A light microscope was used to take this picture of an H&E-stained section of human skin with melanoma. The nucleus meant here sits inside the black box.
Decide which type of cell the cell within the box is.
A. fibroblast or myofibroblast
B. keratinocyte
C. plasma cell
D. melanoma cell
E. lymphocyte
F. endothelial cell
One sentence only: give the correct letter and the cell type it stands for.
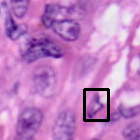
What option F states, that the cell within the box is an endothelial cell, is correct.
